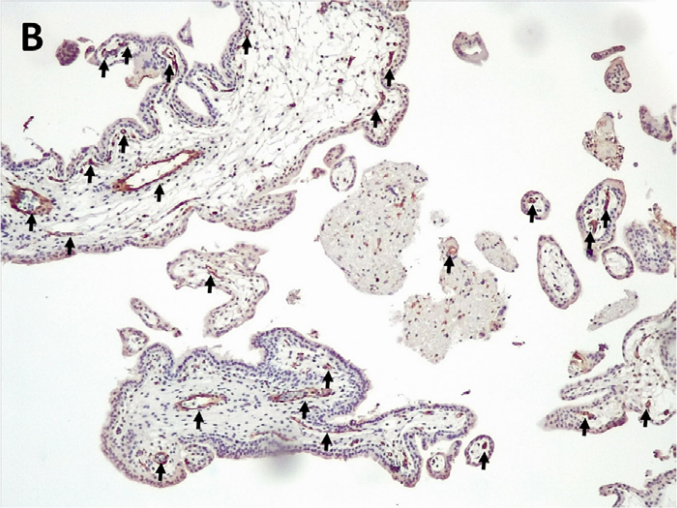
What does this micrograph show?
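These are placental villi of many sizes cut in section, each covered by a thin surface layer of trophoblast cells with small blue nuclei and filled with a core of loose connective tissue. Within the cores sit many small vessels: rounded or stretched lumens lined by flat cells whose rims stain brown. Some vessels are large and open in the middle of the bigger villi, others are tiny and lie just beneath the surface covering, close to the space outside. The stroma itself holds scattered spindle-shaped cells with blue nuclei. Small villi between the large ones often hold one or two brown-lined vessels each.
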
